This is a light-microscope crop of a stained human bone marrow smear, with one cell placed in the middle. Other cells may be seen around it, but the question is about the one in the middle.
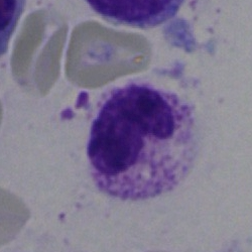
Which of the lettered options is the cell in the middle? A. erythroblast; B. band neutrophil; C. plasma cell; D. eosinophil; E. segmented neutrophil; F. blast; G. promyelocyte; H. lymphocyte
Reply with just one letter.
B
